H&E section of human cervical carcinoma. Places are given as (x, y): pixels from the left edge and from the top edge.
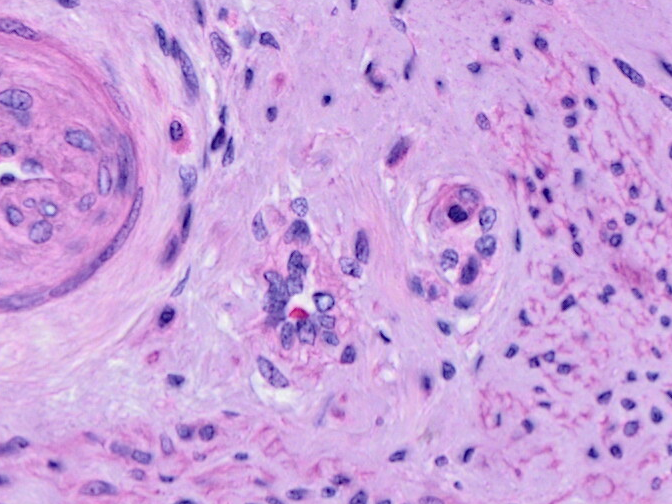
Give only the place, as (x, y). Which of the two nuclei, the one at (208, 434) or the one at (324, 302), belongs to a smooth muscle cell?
(208, 434)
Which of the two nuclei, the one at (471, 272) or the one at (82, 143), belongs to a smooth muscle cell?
(82, 143)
